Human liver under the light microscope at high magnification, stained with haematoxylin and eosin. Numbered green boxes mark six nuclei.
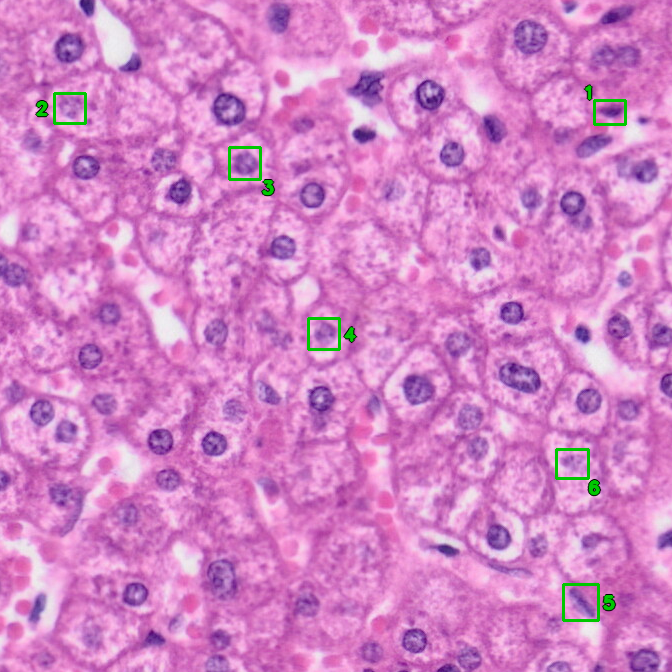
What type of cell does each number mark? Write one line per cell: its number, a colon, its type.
1: endothelial cell
2: hepatocyte
3: hepatocyte
4: hepatocyte
5: endothelial cell
6: hepatocyte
